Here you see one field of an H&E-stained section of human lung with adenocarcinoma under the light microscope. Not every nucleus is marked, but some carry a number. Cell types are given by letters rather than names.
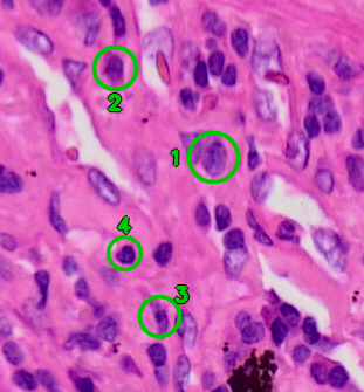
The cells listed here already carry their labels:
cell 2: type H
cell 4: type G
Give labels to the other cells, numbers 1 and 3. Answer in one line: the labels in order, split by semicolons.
type G; type G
